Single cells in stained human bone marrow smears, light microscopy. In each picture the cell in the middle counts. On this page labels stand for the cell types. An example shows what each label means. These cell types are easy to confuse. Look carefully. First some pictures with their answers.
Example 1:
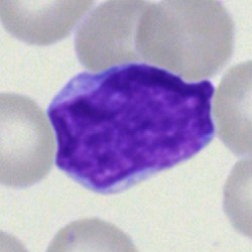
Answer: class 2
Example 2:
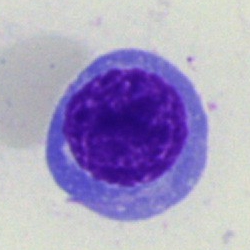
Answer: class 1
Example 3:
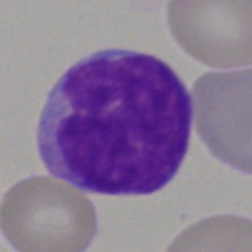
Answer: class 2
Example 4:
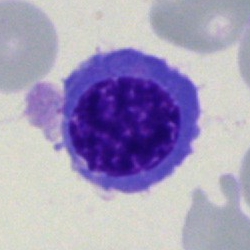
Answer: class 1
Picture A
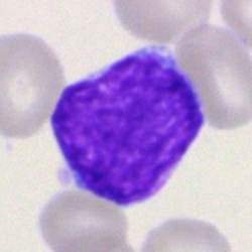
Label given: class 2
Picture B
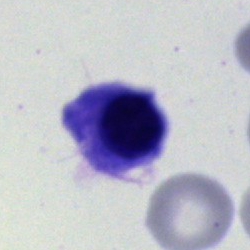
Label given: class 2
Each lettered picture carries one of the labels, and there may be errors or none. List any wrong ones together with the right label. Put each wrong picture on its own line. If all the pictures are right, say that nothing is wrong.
B: change class 2 to class 1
